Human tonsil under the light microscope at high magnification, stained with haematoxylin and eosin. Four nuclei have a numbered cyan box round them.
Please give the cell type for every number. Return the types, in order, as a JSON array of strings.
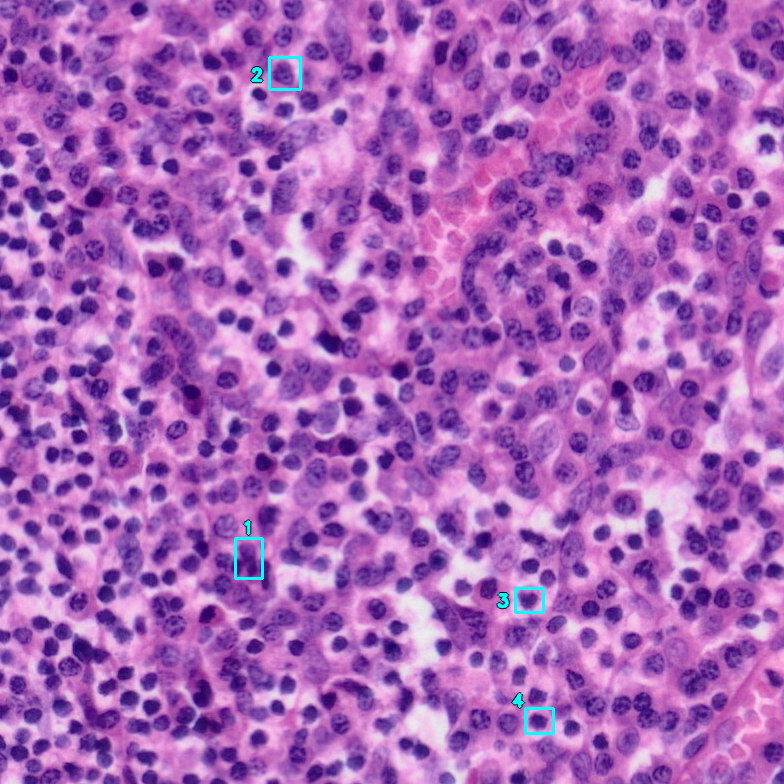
["squamous epithelial cell", "plasma cell", "plasma cell", "plasma cell"]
